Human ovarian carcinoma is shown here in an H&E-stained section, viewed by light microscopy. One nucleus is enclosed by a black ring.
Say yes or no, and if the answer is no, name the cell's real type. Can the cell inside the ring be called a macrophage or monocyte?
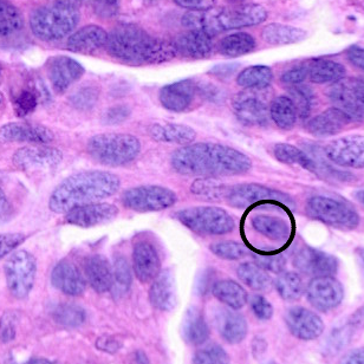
No, it is a carcinoma cell.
